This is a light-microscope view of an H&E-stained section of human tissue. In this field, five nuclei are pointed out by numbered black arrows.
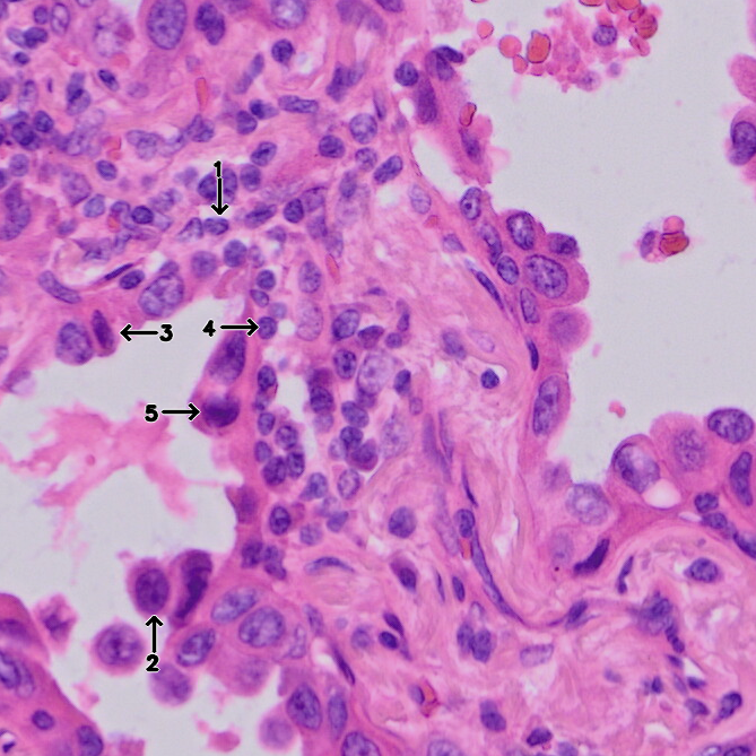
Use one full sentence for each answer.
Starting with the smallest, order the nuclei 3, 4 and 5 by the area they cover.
The order from the smallest nucleus to the largest is 4, 3, 5.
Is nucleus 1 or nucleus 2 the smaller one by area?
The smaller nucleus is 1, and 2 covers roughly 4 times its area.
